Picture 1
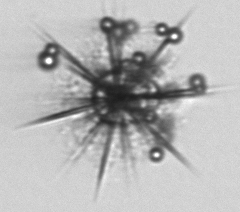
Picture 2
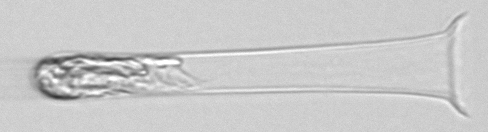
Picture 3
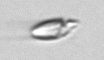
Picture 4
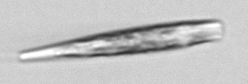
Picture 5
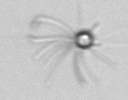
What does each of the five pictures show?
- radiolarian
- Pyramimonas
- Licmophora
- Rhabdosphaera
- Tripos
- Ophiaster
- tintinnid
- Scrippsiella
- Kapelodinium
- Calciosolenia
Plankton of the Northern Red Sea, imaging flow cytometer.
Picture 1: radiolarian
Picture 2: tintinnid
Picture 3: Kapelodinium
Picture 4: Licmophora
Picture 5: Ophiaster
